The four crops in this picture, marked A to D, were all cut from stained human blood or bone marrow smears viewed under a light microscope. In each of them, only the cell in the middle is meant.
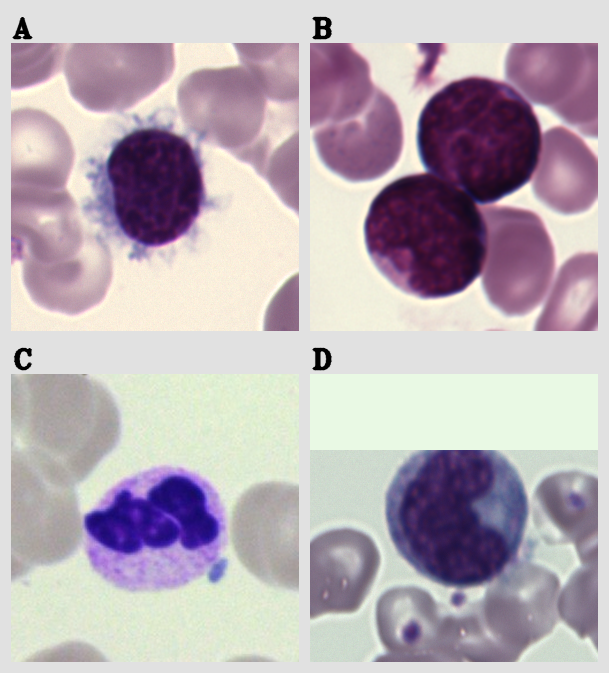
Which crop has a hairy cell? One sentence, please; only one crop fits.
Identified crop: A, the one that shows a hairy cell.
